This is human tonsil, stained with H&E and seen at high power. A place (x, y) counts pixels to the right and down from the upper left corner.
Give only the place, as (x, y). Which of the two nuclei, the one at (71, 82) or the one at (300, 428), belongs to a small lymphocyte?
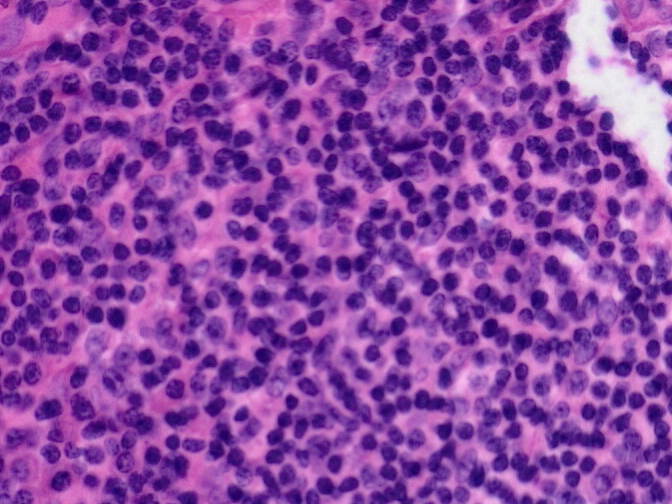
(300, 428)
